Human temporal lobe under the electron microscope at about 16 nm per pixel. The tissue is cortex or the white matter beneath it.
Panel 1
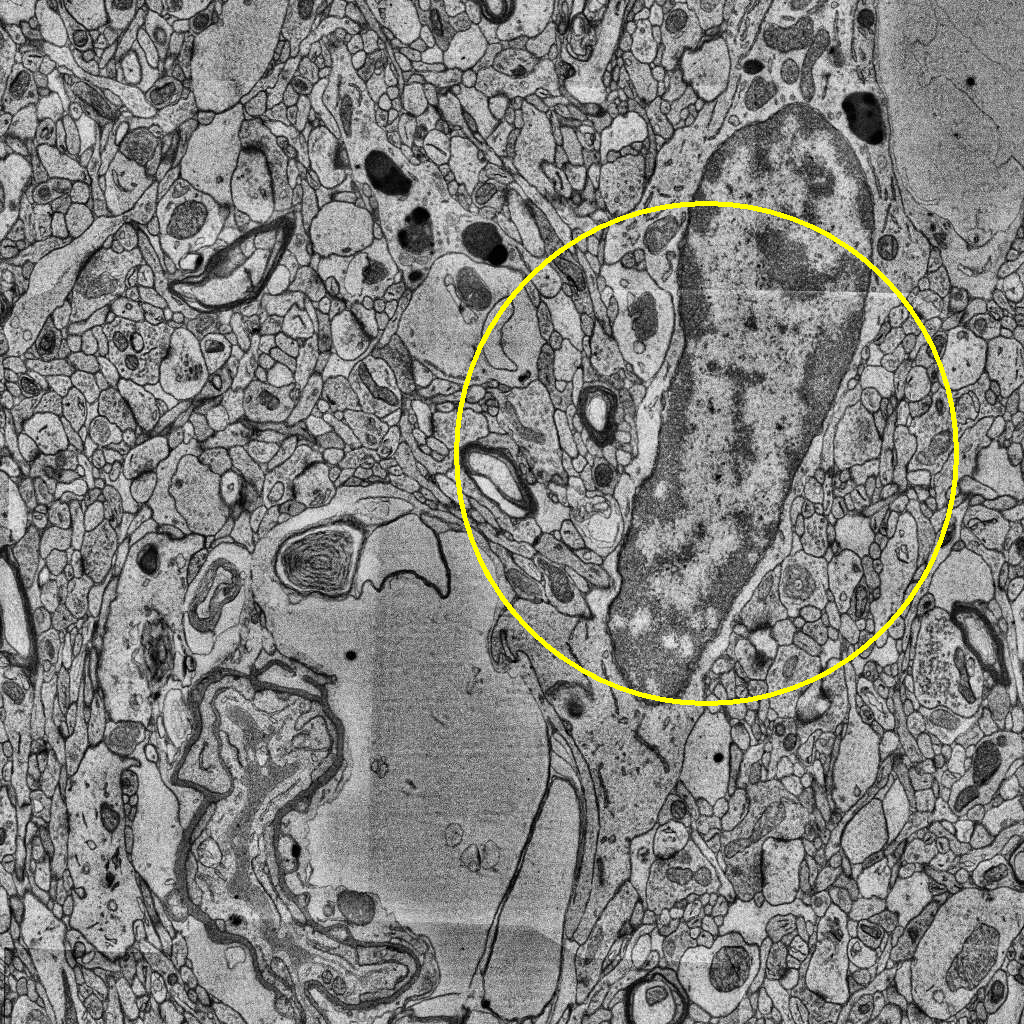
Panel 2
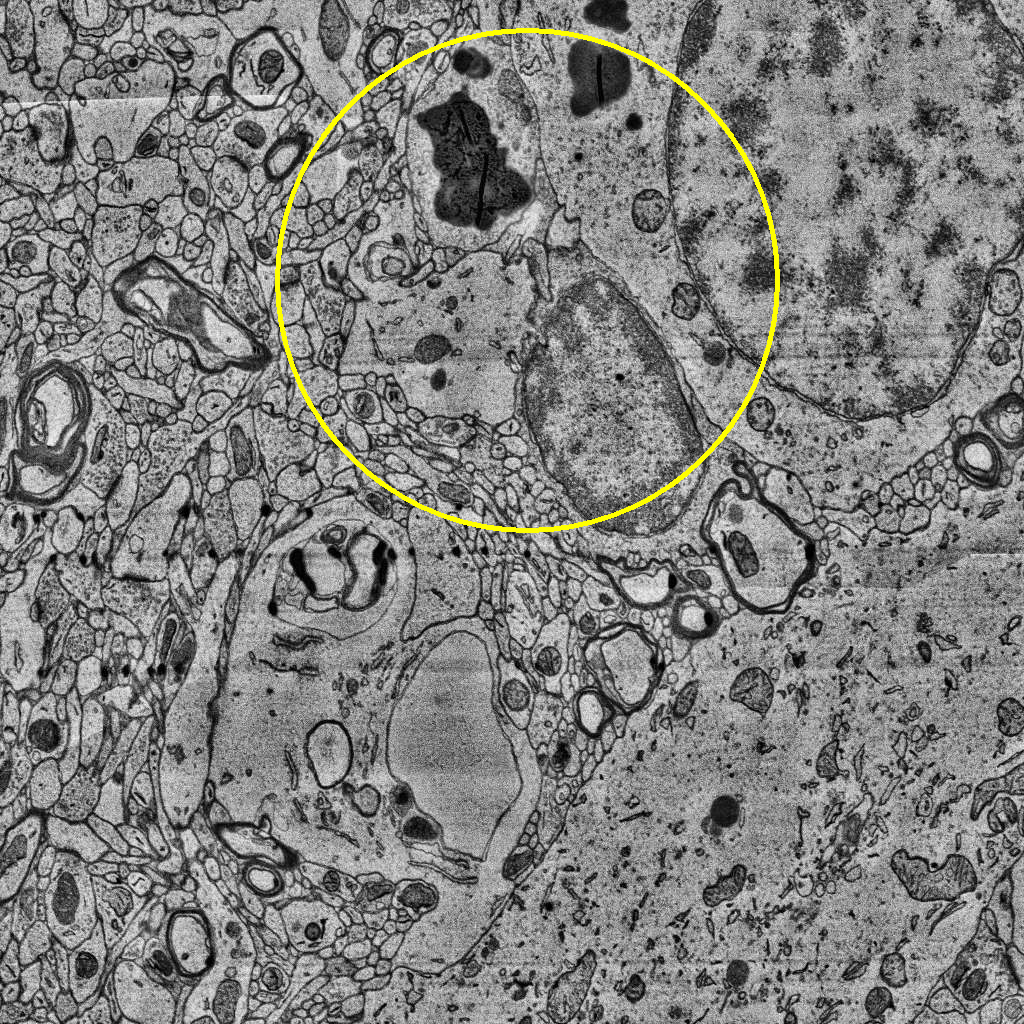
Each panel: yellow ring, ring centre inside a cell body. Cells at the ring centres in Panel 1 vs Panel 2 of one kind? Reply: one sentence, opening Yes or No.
Yes, Panel 1 and Panel 2 have cells of one kind at the ring centres.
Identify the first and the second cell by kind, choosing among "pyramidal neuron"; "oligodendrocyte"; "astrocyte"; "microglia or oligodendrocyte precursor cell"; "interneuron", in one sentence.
Each of the two pictures has a microglial cell or oligodendrocyte precursor cell at the ring centre.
